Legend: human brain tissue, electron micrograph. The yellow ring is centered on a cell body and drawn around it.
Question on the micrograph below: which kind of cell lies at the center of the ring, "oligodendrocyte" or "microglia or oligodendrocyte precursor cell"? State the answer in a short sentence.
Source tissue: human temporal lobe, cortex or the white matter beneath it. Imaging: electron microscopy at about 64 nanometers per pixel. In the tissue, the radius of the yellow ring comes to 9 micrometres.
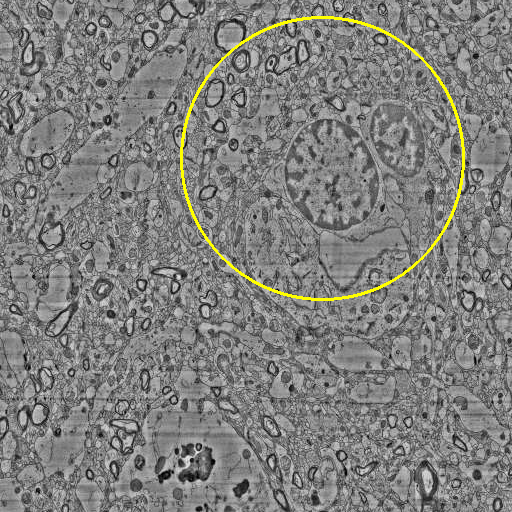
At the center of the ring lies a microglial cell or oligodendrocyte precursor cell.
